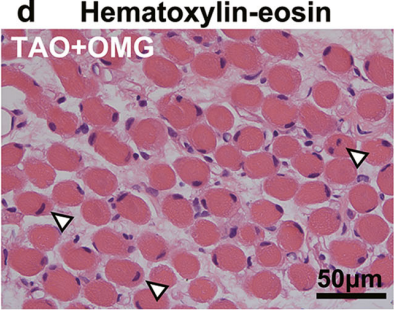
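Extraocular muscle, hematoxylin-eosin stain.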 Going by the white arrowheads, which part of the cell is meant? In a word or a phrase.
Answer: Central nuclei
